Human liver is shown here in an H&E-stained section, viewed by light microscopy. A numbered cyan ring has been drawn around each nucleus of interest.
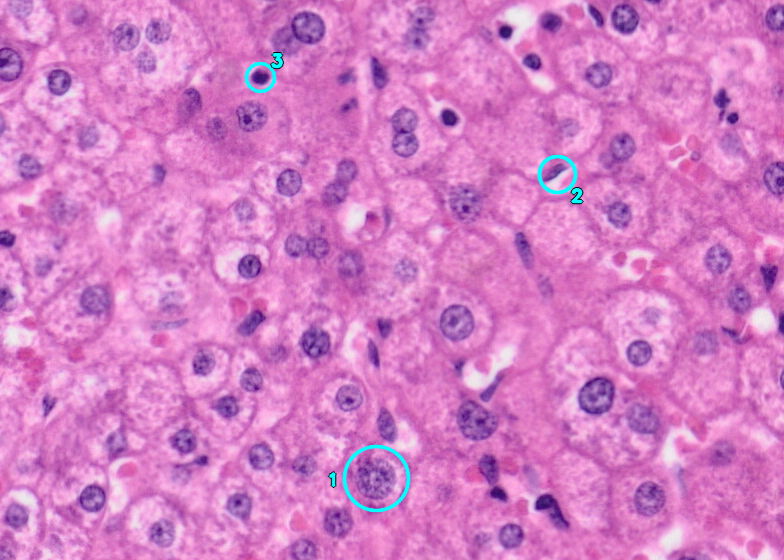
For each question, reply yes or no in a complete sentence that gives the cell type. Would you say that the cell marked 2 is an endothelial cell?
Yes, with respect to number 2, the cell is an endothelial cell.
